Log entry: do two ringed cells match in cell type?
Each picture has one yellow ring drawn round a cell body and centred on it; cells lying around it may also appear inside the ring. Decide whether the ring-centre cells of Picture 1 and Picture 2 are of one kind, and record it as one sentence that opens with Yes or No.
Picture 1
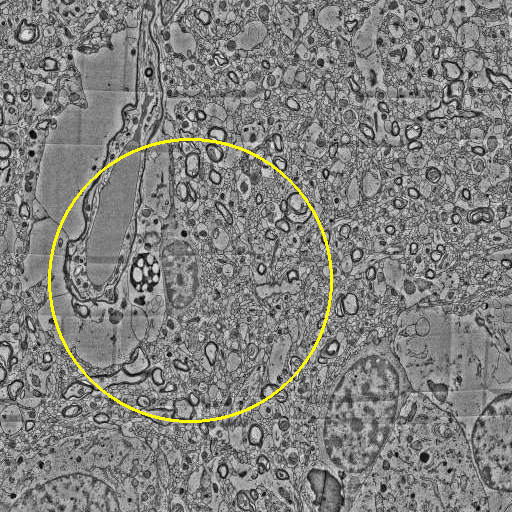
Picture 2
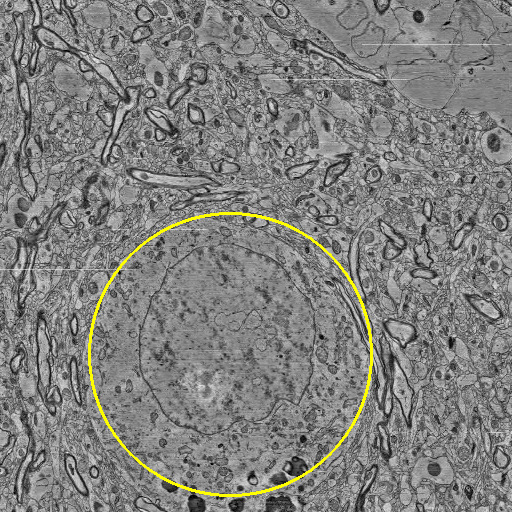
No, the cells at the ring centres of the two pictures belong to two kinds.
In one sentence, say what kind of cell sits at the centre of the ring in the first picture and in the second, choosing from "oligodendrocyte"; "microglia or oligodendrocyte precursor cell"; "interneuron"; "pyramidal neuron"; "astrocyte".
The first picture's ringed cell is an oligodendrocyte, while the second picture's is a pyramidal neuron.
